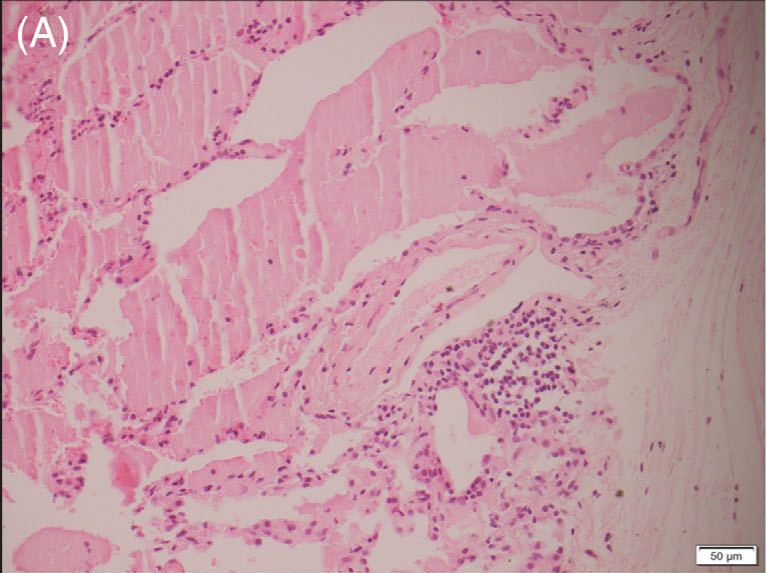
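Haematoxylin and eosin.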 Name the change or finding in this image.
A: Alveolar proteinosis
